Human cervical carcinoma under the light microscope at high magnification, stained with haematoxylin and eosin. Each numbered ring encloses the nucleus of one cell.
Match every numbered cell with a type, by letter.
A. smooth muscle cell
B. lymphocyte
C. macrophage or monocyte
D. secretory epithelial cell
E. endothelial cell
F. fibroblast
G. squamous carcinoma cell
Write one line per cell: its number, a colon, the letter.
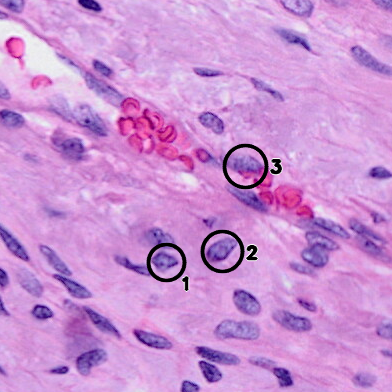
1: F
2: F
3: E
